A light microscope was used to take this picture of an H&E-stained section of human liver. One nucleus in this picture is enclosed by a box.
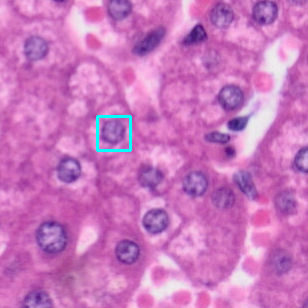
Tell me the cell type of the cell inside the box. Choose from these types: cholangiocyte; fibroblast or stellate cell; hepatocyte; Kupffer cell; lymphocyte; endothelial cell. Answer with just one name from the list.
hepatocyte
